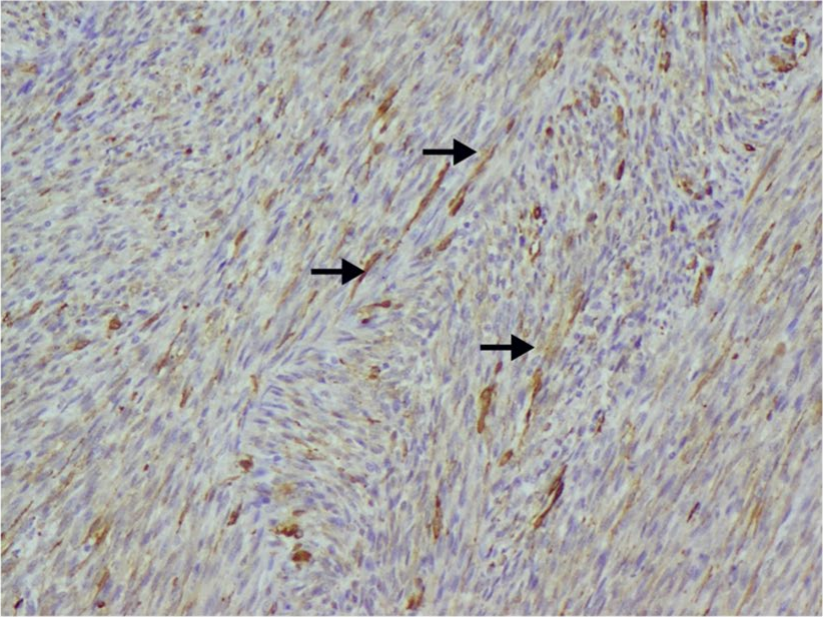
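This is a spindle cell tumor in which many cells have blue-stained elongated nuclei and a subset shows brown cytoplasmic staining. The brown-stained cells are elongated and lie in streaks parallel to the direction of the fascicles. Unstained spindle cells with pale cytoplasm lie between the stained ones.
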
